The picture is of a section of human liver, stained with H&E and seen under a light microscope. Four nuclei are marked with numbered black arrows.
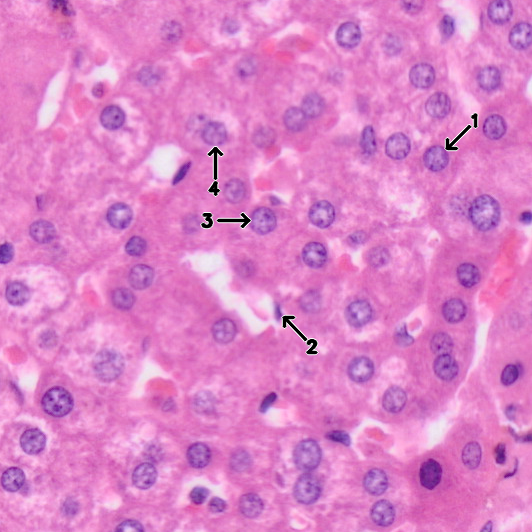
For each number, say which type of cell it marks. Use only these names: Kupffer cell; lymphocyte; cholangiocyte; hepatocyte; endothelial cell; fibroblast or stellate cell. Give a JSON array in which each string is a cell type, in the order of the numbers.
["hepatocyte", "endothelial cell", "hepatocyte", "hepatocyte"]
